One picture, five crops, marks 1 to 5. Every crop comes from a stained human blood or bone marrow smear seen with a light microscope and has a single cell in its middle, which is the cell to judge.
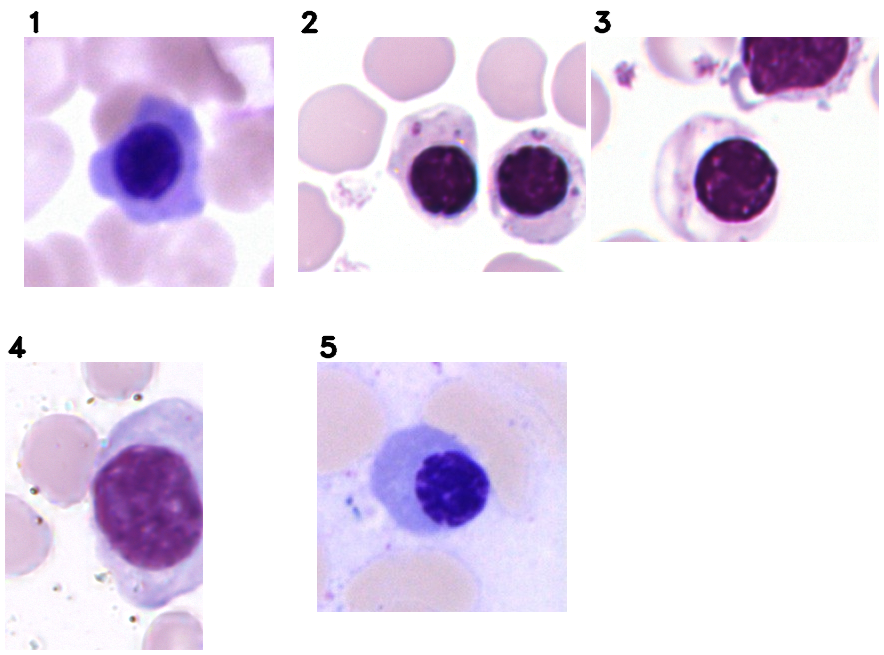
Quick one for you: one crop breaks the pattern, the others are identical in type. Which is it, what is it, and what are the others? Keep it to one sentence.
Crop 4 is the odd one out, being a plasma cell, while all the other crops show erythroblasts.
